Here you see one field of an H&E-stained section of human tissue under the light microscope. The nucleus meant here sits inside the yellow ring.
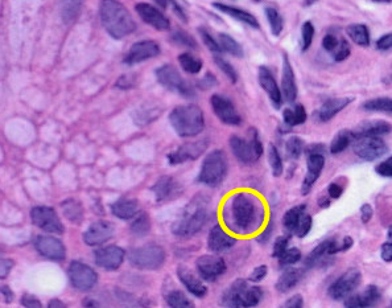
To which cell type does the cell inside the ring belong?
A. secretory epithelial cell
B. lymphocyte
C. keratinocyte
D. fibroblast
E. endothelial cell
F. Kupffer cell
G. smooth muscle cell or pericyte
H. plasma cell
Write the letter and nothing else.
A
